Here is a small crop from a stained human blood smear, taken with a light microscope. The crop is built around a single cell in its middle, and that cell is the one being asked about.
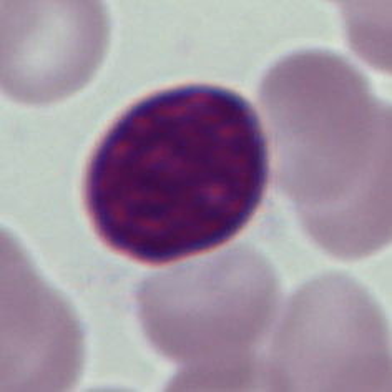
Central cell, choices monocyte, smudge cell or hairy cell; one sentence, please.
Seen at the centre of the crop is a smudge cell.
